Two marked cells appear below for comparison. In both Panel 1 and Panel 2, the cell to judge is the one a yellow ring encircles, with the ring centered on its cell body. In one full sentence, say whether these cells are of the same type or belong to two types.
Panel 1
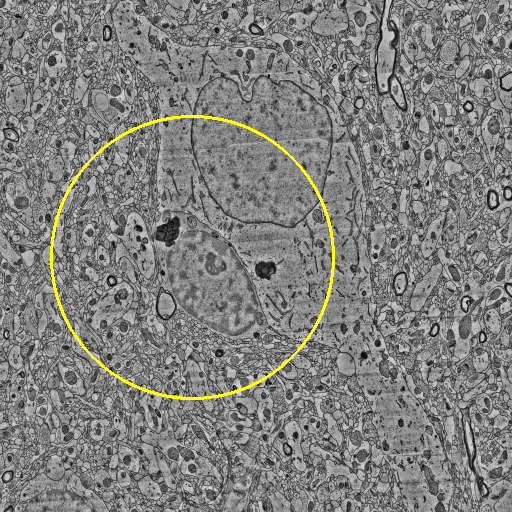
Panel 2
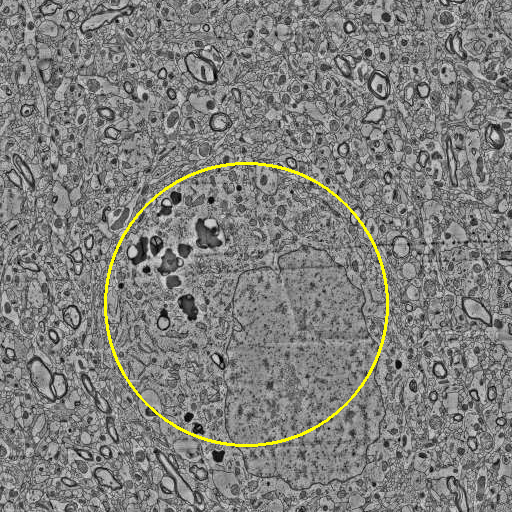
The cell centered in the Panel 1 ring and the one in Panel 2 belong to two types.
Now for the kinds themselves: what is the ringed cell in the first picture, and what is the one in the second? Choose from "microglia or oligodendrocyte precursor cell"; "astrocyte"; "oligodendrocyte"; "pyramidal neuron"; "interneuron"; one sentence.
Here the first cell is an oligodendrocyte and the second cell is a pyramidal neuron.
